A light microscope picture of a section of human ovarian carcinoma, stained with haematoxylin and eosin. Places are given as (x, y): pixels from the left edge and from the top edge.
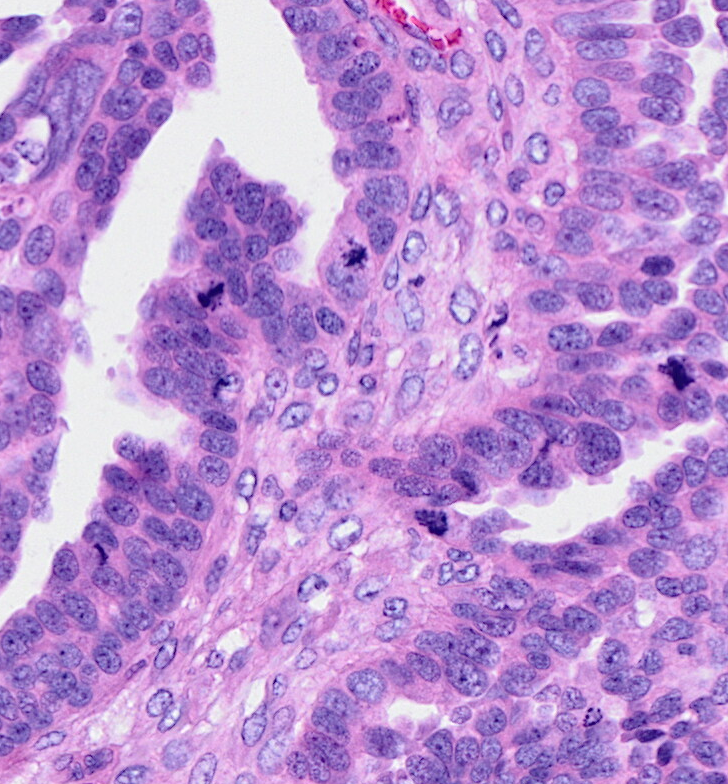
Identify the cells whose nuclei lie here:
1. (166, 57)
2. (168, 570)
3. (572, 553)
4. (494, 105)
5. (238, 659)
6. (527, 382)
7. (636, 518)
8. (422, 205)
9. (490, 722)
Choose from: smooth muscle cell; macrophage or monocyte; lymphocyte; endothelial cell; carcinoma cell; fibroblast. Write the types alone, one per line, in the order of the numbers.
carcinoma cell
carcinoma cell
carcinoma cell
fibroblast
fibroblast
fibroblast
carcinoma cell
fibroblast
carcinoma cell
